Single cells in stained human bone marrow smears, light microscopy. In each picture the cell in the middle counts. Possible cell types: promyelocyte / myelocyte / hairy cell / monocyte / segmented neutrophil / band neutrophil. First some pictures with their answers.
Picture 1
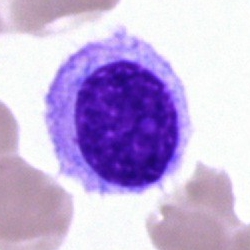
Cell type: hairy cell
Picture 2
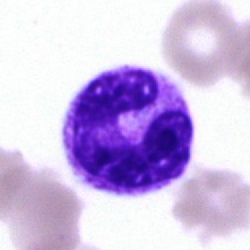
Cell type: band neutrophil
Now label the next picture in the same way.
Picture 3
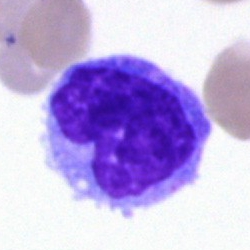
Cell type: monocyte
